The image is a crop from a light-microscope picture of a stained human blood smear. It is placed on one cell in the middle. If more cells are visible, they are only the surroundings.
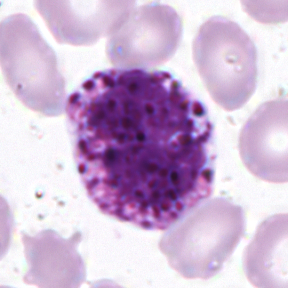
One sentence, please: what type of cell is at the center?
The cell found in the middle of this crop is a basophil.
